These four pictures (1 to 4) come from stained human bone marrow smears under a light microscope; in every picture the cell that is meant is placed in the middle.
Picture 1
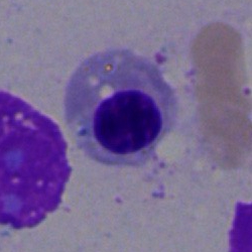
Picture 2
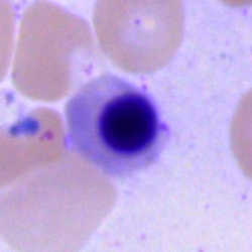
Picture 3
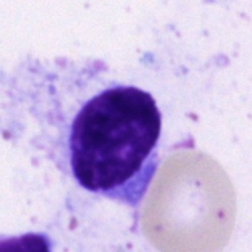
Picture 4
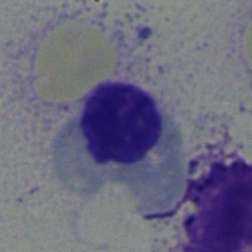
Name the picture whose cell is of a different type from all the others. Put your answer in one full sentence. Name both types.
The others show erythroblasts, but picture 3 shows a lymphocyte.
